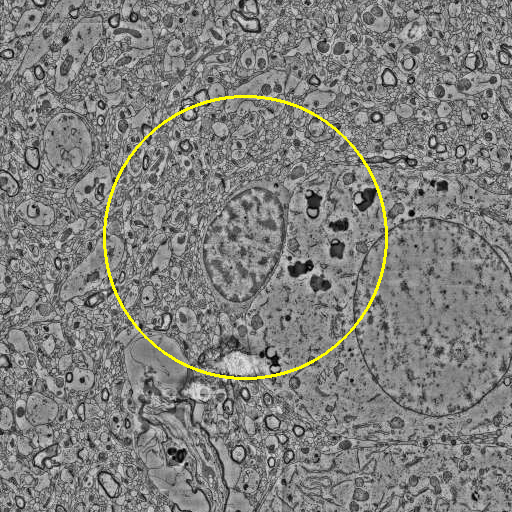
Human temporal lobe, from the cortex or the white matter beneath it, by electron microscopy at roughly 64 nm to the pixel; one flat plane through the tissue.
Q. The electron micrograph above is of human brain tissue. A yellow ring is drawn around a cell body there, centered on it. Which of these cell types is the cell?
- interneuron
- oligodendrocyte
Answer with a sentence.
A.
The cell under the ring's center is an oligodendrocyte.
